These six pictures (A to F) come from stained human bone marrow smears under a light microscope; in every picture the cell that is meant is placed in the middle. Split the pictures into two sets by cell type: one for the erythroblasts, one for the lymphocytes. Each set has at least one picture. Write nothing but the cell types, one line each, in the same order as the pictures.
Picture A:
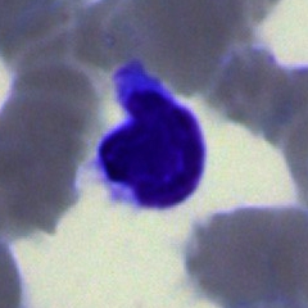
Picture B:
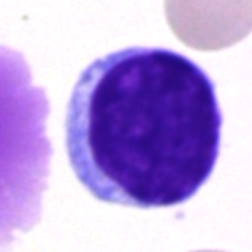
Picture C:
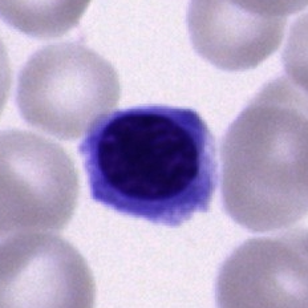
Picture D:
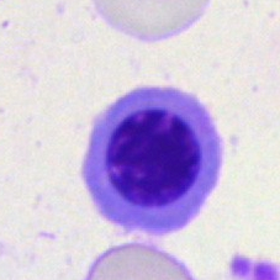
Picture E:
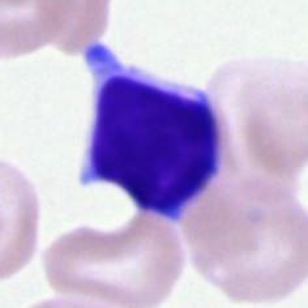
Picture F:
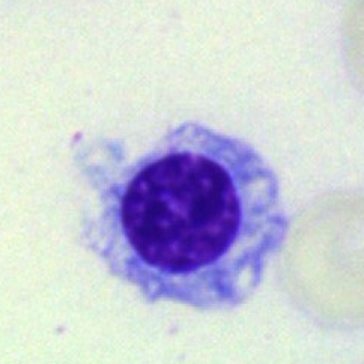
lymphocyte
lymphocyte
erythroblast
erythroblast
lymphocyte
erythroblast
